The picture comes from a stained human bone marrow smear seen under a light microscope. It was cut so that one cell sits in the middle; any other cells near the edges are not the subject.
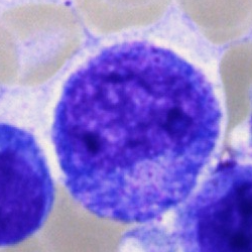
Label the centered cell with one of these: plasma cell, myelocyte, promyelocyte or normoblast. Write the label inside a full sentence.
The central cell shown in this smear crop is a promyelocyte.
